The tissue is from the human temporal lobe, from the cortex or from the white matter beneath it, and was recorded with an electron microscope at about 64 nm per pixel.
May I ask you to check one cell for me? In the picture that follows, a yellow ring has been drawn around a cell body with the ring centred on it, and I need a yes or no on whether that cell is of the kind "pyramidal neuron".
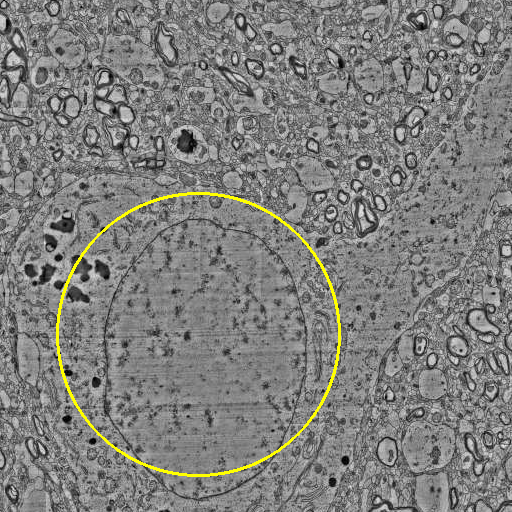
Yes, it is that kind of cell.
